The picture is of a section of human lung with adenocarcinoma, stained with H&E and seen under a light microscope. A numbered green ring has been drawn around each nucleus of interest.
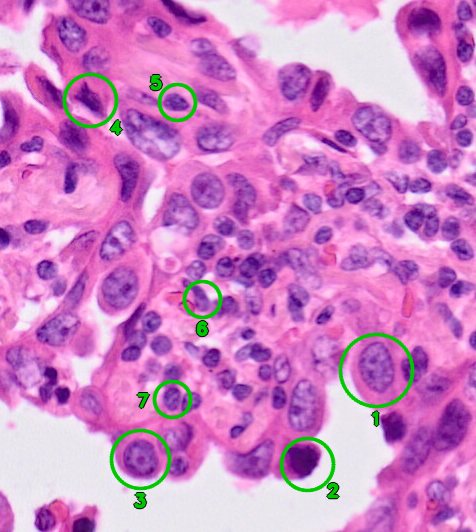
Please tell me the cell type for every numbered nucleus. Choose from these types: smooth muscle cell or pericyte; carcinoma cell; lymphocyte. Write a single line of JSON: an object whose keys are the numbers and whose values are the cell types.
{"1": "carcinoma cell", "2": "carcinoma cell", "3": "carcinoma cell", "4": "carcinoma cell", "5": "lymphocyte", "6": "lymphocyte", "7": "lymphocyte"}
